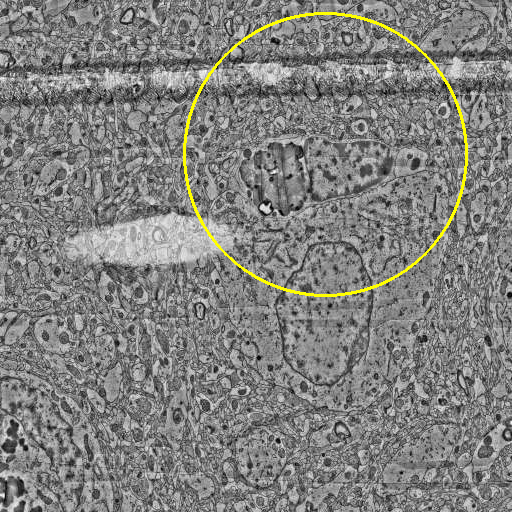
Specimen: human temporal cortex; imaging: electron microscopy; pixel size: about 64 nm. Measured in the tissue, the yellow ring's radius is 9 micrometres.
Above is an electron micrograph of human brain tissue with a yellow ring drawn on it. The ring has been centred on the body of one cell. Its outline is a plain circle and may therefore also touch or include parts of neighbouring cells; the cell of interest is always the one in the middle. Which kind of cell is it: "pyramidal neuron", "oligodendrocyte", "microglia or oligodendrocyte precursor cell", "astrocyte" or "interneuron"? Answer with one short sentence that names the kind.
The ring's central cell body is that of a microglial cell or oligodendrocyte precursor cell.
